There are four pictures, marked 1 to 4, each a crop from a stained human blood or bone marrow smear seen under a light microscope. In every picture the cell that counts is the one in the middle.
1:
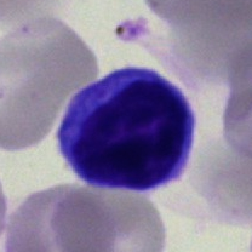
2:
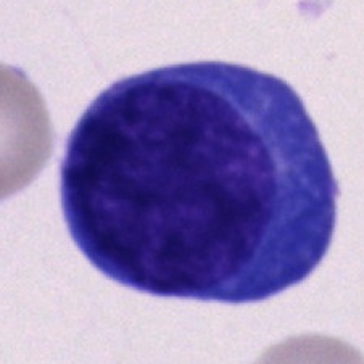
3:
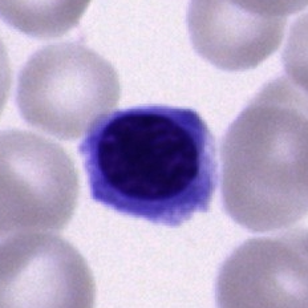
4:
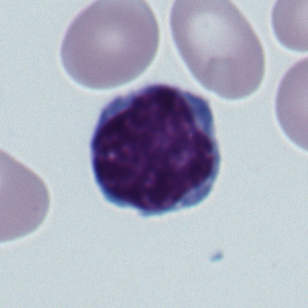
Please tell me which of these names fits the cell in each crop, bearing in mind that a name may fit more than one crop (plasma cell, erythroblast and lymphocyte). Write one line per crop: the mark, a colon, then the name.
1: lymphocyte
2: plasma cell
3: erythroblast
4: lymphocyte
